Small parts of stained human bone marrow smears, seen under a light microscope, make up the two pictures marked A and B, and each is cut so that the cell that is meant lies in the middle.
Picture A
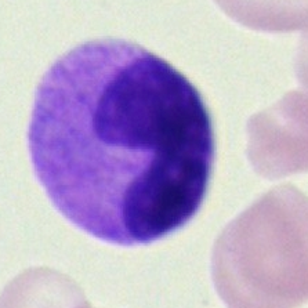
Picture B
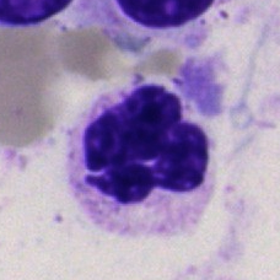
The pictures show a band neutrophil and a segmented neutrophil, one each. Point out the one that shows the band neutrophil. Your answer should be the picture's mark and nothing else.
A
